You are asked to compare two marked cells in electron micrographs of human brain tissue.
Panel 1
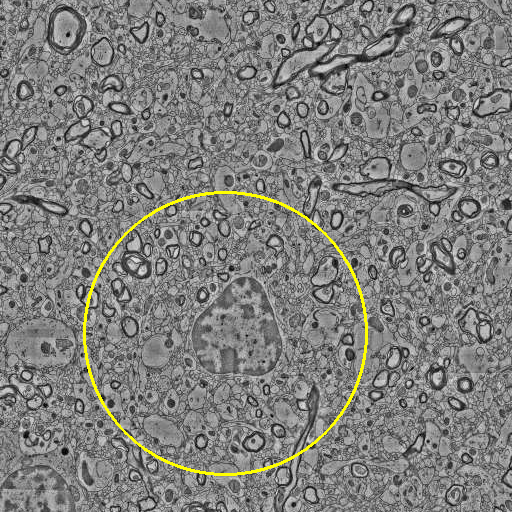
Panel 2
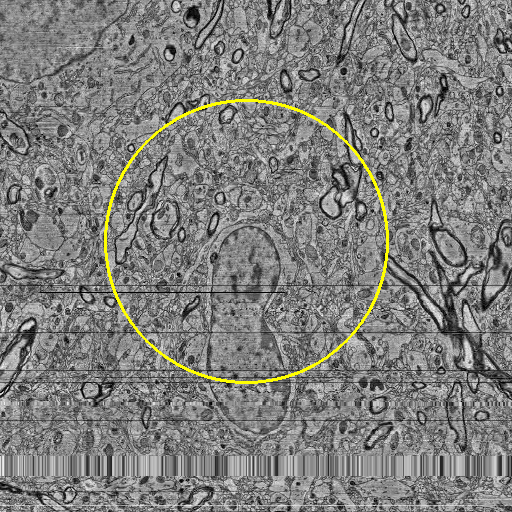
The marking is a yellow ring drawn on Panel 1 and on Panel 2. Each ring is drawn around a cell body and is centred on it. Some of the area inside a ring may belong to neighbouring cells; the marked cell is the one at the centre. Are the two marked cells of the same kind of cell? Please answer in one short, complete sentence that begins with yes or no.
Yes, the two marked cells are of the same kind.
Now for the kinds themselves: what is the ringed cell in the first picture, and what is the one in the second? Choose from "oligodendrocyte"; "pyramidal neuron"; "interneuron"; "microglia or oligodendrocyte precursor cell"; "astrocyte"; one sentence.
Each of the two pictures has a microglial cell or oligodendrocyte precursor cell at the ring centre.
